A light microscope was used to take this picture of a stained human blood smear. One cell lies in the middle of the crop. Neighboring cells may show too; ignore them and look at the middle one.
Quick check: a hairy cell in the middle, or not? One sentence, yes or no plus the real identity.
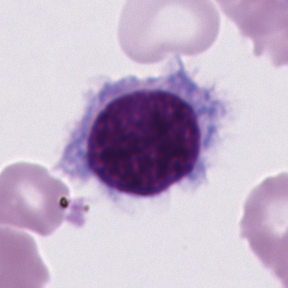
Yes, this central cell is a hairy cell.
